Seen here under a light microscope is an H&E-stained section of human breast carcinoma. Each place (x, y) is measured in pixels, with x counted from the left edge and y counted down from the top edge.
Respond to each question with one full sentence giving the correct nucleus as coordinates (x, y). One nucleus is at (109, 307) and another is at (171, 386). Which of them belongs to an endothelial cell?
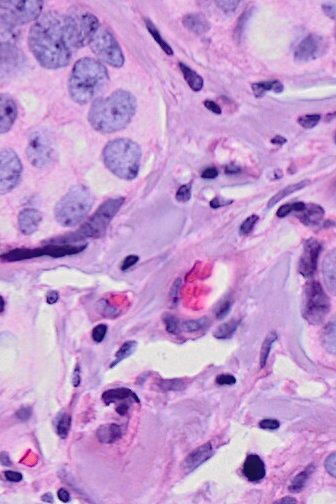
It is the nucleus at (109, 307) that belongs to an endothelial cell.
